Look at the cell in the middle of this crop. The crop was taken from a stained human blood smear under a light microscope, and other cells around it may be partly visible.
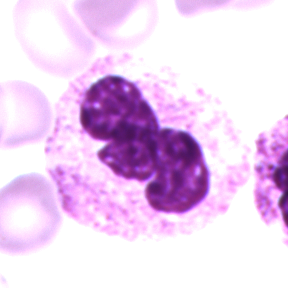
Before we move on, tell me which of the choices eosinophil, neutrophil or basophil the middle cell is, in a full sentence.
The centrally positioned cell in the crop represents a neutrophil.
